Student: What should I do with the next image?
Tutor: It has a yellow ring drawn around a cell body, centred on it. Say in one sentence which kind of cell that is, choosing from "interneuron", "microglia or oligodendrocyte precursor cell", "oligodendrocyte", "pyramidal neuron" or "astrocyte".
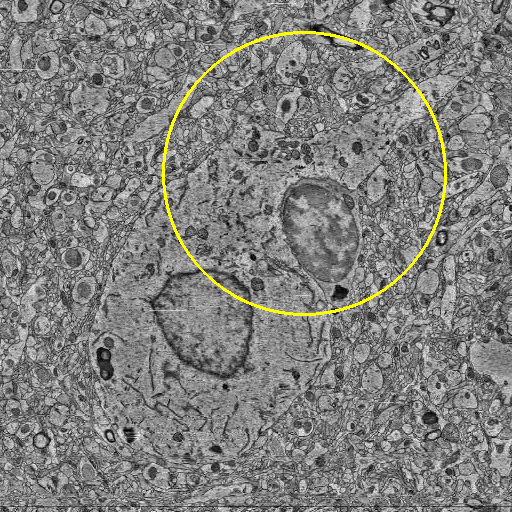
The ring's centre is occupied by an oligodendrocyte.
